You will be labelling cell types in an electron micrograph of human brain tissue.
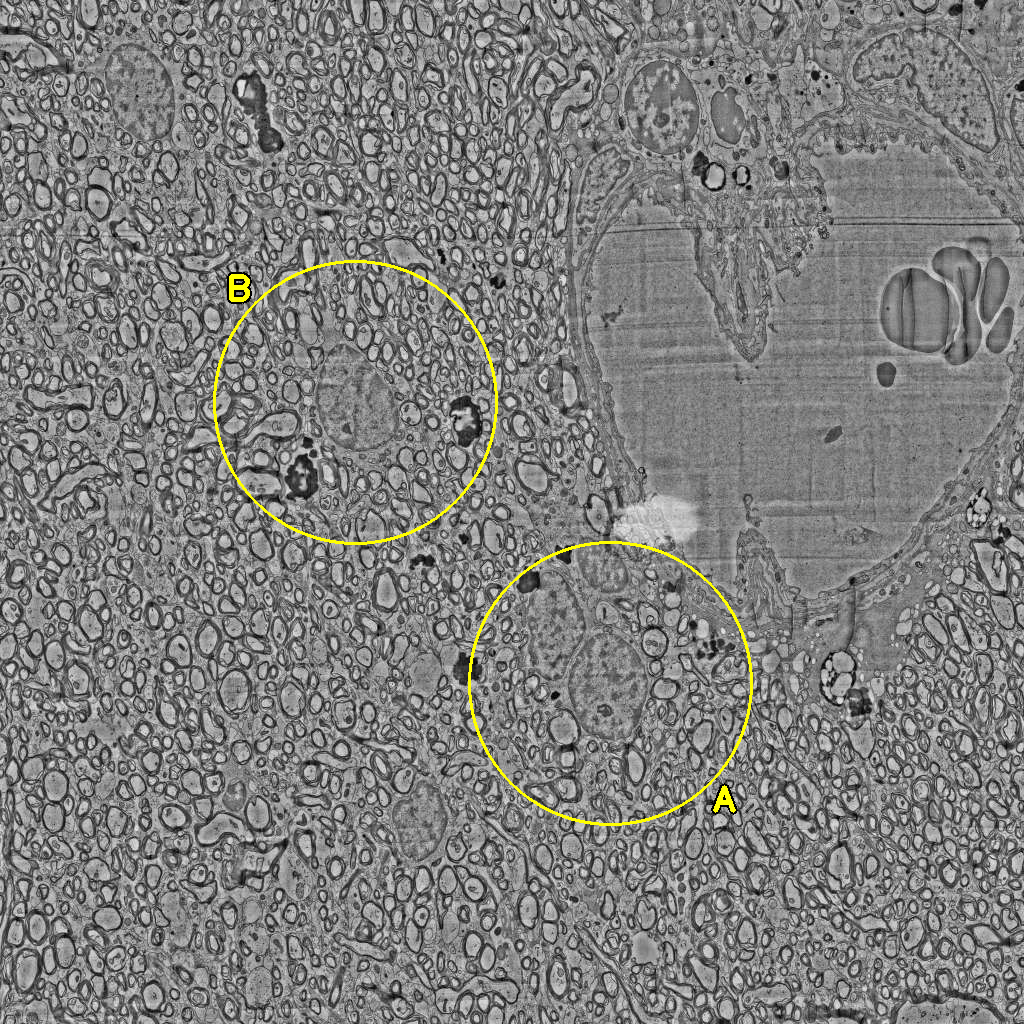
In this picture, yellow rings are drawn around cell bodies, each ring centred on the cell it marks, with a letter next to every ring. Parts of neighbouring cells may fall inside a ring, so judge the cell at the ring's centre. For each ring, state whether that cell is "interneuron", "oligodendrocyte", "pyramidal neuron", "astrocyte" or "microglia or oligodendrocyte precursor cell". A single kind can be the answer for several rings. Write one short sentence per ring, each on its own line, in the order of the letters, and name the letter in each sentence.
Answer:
Ring A contains an oligodendrocyte at its centre.
Ring B contains an oligodendrocyte at its centre.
